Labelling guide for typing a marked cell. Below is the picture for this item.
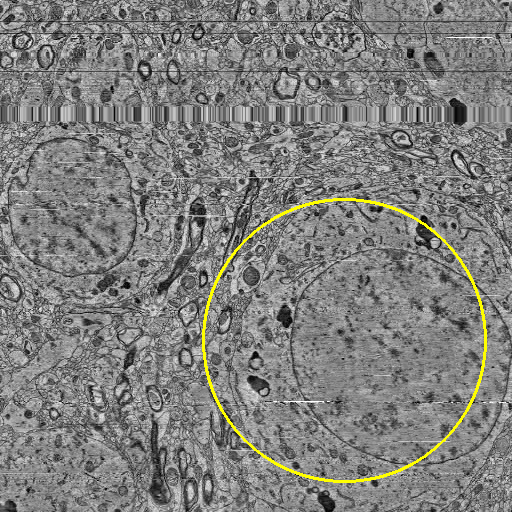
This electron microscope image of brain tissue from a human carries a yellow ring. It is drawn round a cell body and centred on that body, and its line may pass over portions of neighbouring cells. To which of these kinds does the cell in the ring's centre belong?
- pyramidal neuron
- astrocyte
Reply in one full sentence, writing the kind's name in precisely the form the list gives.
Here we have a pyramidal neuron at the centre of the yellow ring in the picture.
